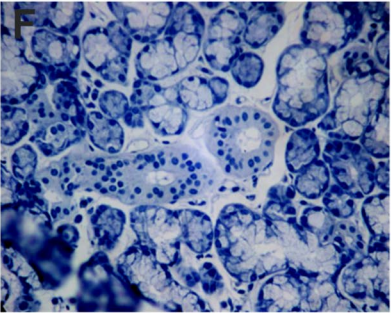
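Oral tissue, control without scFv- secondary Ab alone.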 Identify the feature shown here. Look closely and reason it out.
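Small tubules of cuboidal cells around a lumen in the centre. Surrounded by mucous acini with pale foamy cytoplasm.
Ducts of the salivary glands.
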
